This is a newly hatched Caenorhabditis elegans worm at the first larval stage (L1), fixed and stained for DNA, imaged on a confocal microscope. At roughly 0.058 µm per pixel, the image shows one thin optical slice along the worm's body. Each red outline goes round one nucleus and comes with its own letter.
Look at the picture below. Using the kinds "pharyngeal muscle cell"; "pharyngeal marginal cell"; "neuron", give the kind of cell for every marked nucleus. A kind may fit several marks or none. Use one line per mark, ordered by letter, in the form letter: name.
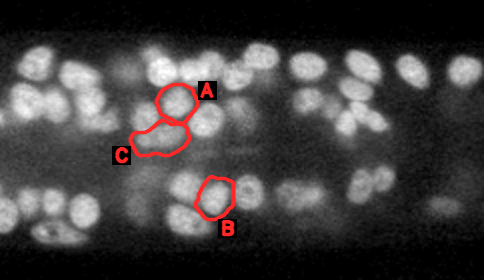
A: neuron
B: neuron
C: pharyngeal marginal cell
